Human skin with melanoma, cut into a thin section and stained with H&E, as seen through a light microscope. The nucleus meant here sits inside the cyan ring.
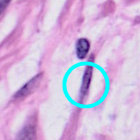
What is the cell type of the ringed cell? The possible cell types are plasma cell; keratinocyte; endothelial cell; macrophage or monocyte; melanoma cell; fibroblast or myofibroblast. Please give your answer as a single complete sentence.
In this preparation, the ringed cell is a fibroblast or myofibroblast.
